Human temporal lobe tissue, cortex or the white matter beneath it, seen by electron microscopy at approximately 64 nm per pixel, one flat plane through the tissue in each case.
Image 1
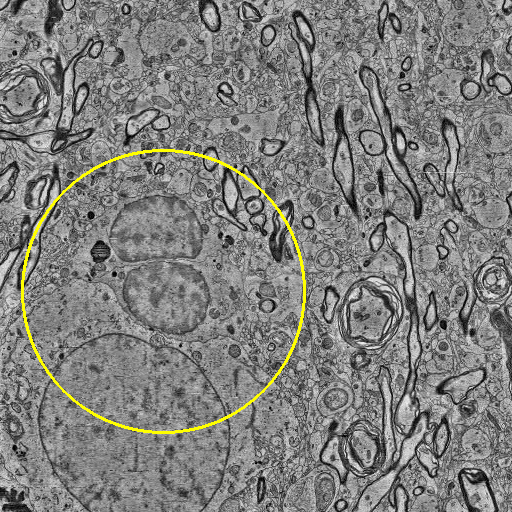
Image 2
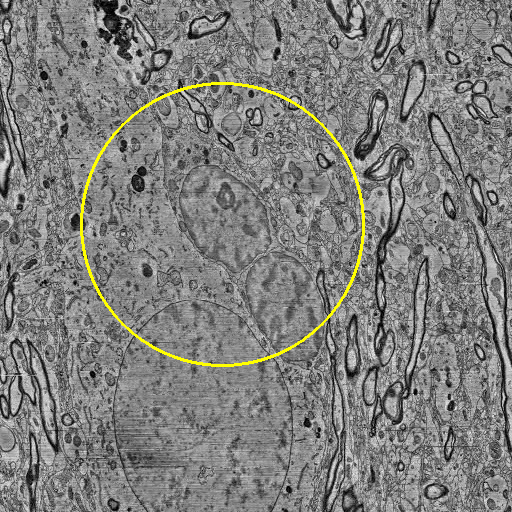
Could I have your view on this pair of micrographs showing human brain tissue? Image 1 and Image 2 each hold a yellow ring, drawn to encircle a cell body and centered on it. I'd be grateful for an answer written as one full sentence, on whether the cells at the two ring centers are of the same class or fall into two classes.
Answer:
The cells at the centers of the two rings are of the same class.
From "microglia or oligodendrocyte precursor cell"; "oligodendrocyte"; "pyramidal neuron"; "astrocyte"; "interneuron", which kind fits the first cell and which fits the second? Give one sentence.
Both the first and the second picture show an oligodendrocyte in the ring.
